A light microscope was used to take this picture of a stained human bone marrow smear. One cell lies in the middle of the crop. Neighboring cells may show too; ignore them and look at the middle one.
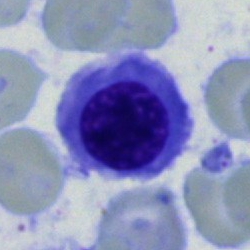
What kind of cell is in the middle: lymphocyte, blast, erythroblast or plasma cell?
erythroblast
